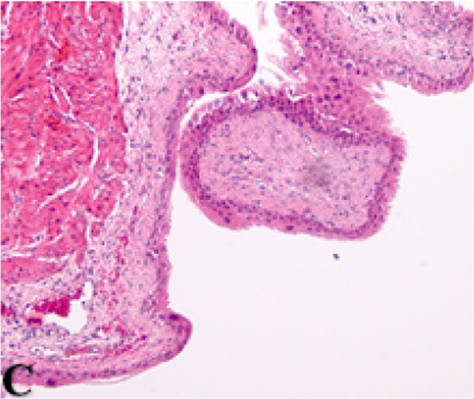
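This is bladder wall with mucosal folds lined by urothelium, a stratified layer several cells thick with closely packed purple nuclei facing the lumen. Beneath it the lamina propria is a pale pink, loosely arranged connective tissue with scattered nuclei, and to the left lie deeply eosinophilic bundles of smooth muscle.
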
